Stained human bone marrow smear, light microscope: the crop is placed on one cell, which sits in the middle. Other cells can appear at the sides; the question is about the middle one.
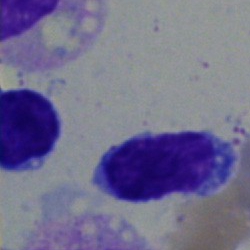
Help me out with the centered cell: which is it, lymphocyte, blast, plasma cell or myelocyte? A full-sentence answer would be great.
The middle position in this crop is taken by a lymphocyte.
